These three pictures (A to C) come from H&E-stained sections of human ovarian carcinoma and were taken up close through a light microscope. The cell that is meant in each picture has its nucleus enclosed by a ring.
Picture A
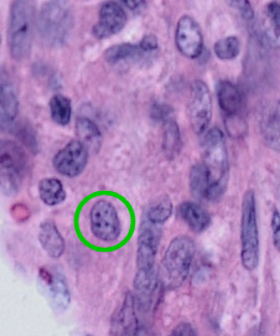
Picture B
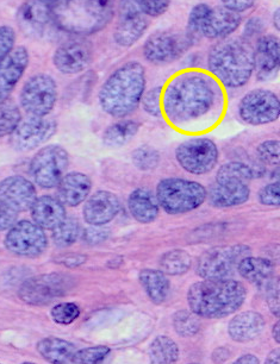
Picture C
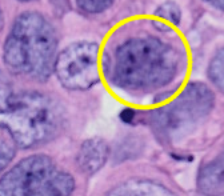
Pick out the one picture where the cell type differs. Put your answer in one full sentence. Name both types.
Unlike the rest, which show carcinoma cells, picture A shows a “macrophage or monocyte”.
